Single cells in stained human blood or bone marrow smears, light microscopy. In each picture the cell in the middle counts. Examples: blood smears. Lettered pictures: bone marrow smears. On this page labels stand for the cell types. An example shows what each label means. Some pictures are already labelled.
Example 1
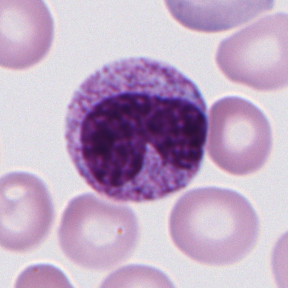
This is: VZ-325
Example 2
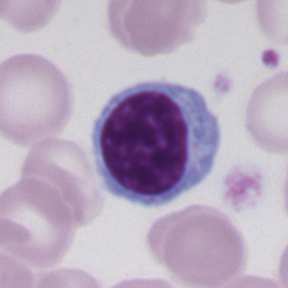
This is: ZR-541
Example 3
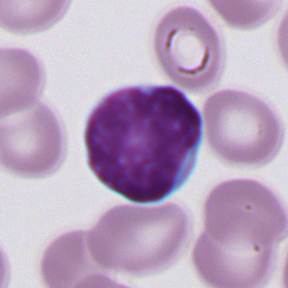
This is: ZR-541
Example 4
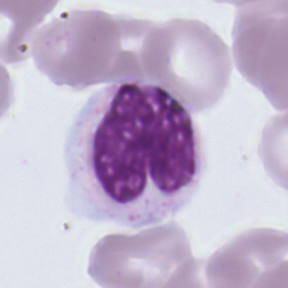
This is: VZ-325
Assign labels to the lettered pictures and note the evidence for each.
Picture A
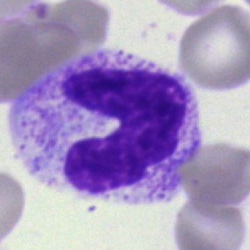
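VZ-325. The cytoplasm is abundant and pale lilac.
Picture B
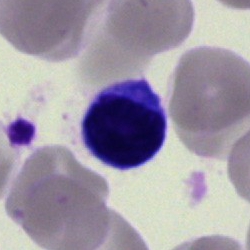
ZR-541. The cytoplasm is very scant, showing only as a narrow paler blue band at the top edge.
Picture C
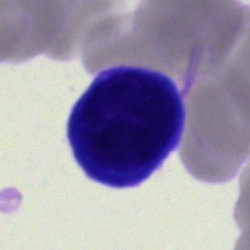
ZR-541. Cytoplasm is scant, at most a thin rim hard to separate from the nucleus.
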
